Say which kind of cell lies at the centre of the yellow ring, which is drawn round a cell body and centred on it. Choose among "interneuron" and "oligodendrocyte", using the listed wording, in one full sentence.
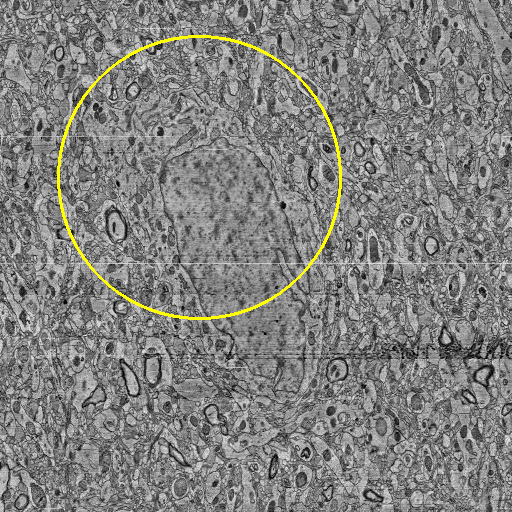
Going by the list, the cell at the yellow ring's centre is an interneuron.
